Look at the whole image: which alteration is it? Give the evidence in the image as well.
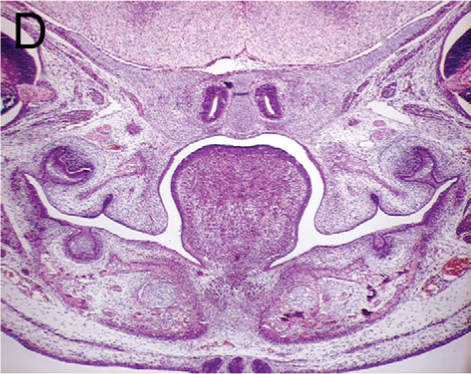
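The palatal shelves lie at the sides of the tongue rather than horizontally above it. No continuous horizontal shelf tissue spans the space above the tongue. The tongue fills the oral cavity up toward the nasal region. The answer: impaired palate shelf elevation.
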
